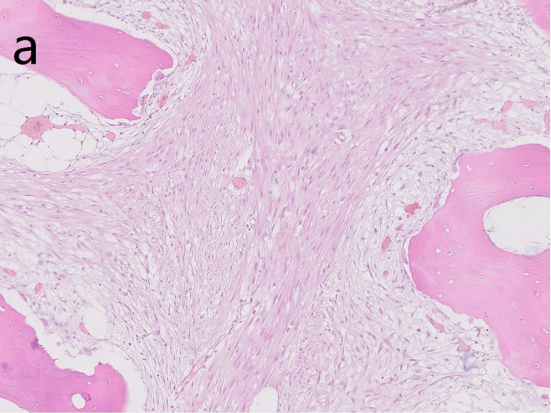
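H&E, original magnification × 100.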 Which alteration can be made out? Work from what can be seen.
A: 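Spindle-cell tissue fills the spaces between pink bony trabeculae. The spindle cells extend right up against the bone and among fat cells at the upper left. The answer: permeative invasive growth.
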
